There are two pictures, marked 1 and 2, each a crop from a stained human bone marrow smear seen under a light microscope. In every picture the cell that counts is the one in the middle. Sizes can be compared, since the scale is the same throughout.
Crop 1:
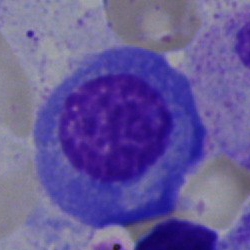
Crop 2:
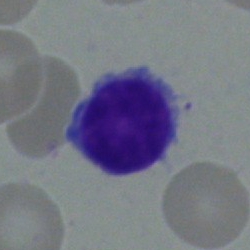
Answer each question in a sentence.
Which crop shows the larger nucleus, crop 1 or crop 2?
The nucleus in crop 1 is larger, with about 1.5 times the area of the one in crop 2.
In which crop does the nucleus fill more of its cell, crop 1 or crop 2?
It is the cell in crop 2 that is filled more by its nucleus.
